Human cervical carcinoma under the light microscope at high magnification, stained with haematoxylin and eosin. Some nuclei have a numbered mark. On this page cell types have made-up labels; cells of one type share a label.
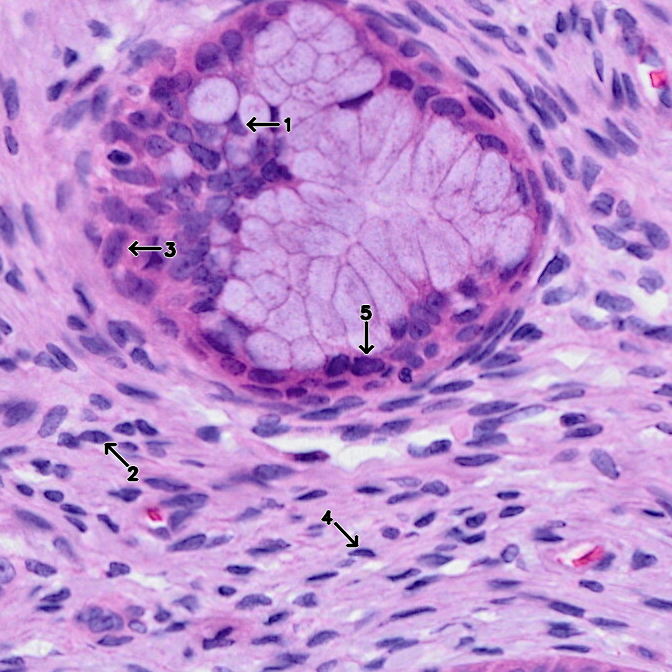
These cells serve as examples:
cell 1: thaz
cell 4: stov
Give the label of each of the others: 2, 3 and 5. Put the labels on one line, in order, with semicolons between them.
stov; thaz; thaz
